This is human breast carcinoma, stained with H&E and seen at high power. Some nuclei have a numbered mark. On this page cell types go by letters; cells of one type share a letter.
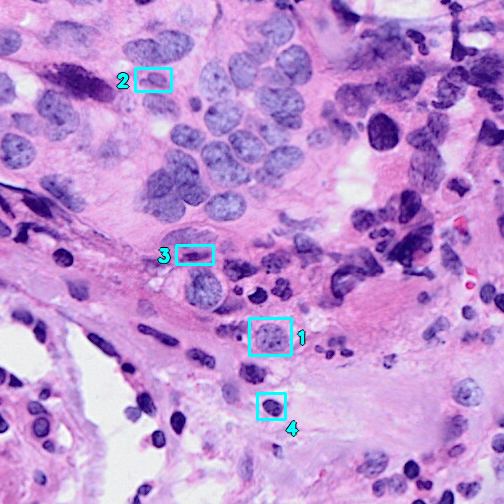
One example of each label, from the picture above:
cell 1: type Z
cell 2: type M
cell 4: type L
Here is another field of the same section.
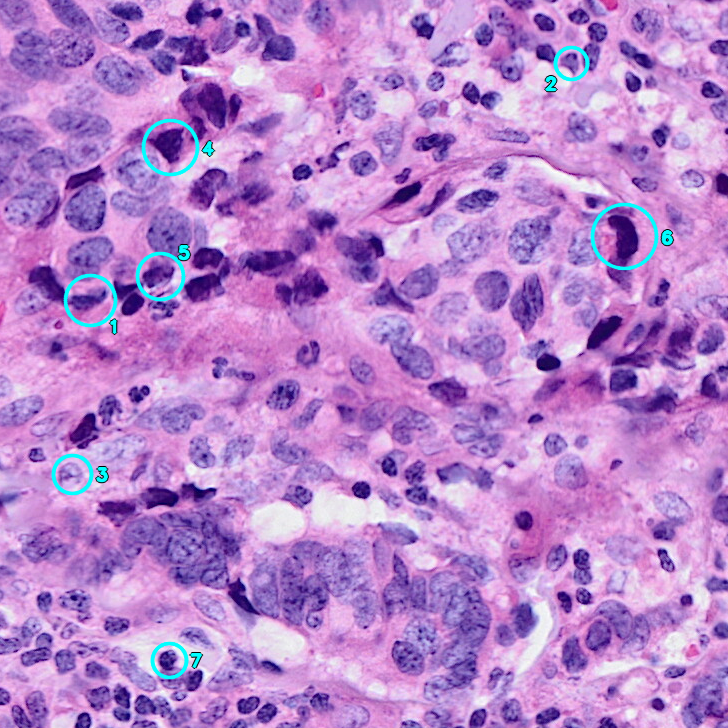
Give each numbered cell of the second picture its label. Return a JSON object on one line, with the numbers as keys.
{"1": "type M", "2": "type L", "3": "type Z", "4": "type M", "5": "type M", "6": "type M", "7": "type L"}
